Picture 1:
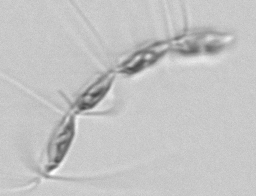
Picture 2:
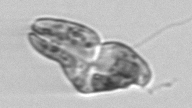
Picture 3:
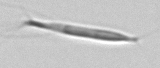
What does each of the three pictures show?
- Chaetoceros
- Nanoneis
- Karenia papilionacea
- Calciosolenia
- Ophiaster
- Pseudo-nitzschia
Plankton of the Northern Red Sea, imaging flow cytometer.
1: Chaetoceros
2: Karenia papilionacea
3: Calciosolenia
